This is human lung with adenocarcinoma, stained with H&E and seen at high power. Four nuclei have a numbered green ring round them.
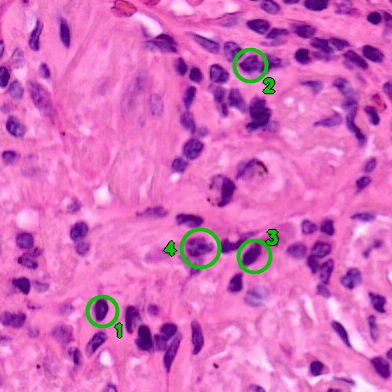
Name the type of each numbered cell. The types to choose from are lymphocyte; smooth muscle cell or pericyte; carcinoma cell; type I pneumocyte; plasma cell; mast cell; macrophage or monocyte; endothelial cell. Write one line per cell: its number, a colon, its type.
1: plasma cell
2: lymphocyte
3: plasma cell
4: plasma cell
